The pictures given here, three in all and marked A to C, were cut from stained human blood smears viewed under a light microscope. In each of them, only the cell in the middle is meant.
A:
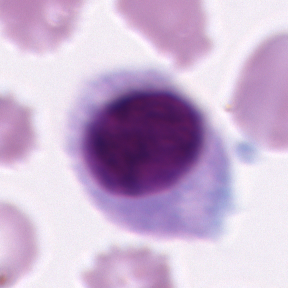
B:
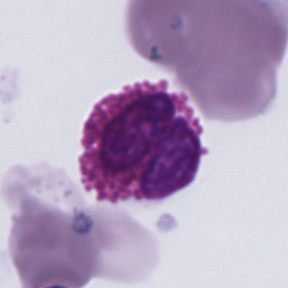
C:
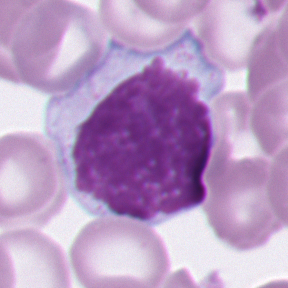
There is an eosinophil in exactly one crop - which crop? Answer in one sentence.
Crop B alone, of all the crops, shows an eosinophil.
